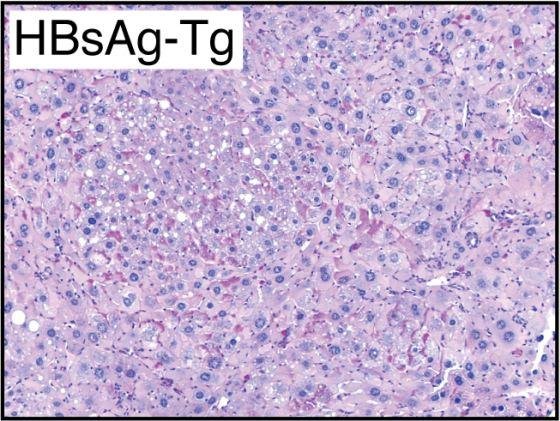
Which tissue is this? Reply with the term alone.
Liver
